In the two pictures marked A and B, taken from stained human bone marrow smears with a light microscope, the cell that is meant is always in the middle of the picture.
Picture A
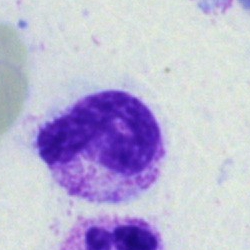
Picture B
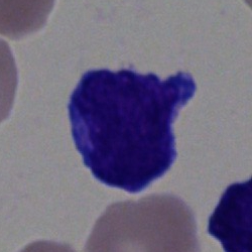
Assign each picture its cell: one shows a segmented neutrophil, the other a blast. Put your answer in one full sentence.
Picture A is of a segmented neutrophil, and picture B is of a blast.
